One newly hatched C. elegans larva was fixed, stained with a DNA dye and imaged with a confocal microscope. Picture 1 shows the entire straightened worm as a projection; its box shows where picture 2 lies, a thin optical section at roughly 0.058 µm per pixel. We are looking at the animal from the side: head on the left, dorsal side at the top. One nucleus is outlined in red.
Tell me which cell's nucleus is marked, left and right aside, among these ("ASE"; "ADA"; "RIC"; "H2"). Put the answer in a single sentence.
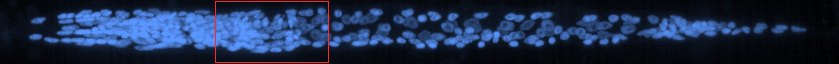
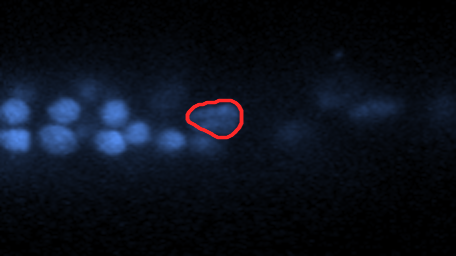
The cell whose nucleus is marked is H2, a seam cell.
